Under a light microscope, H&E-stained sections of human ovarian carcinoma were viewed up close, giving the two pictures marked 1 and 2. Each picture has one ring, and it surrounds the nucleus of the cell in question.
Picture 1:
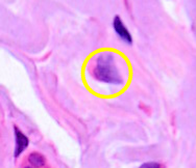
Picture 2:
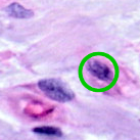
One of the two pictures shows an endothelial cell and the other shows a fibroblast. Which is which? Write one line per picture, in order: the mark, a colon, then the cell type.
1: fibroblast
2: endothelial cell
